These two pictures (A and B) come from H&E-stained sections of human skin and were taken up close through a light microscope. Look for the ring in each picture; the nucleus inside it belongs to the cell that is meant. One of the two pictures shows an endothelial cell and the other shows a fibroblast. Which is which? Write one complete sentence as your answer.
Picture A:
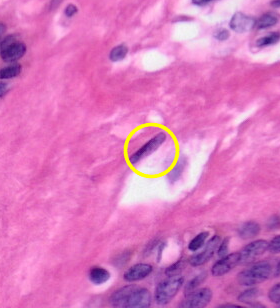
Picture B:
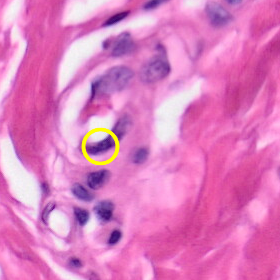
The cell in picture A is a fibroblast, and the one in picture B is an endothelial cell.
